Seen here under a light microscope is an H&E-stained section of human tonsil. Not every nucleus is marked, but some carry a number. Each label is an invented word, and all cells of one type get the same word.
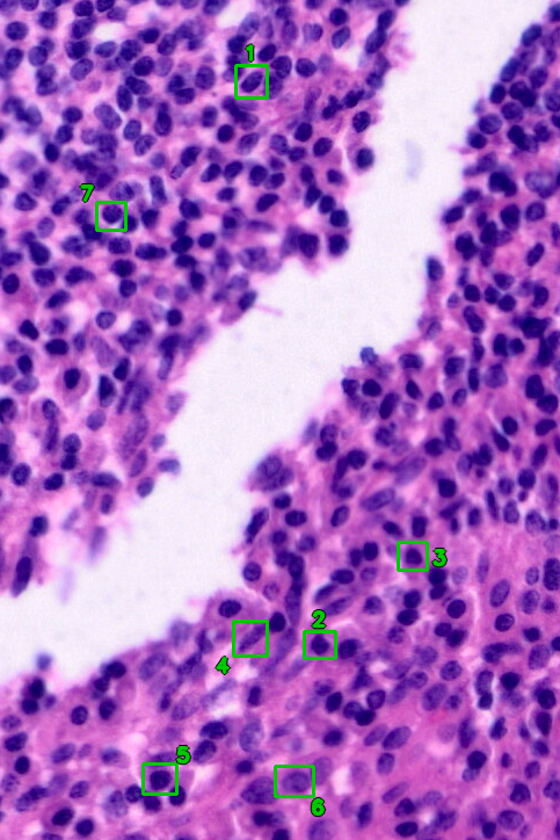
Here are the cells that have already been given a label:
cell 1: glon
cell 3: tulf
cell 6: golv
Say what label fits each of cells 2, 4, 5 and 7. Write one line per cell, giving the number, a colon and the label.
2: tulf
4: golv
5: tulf
7: glon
